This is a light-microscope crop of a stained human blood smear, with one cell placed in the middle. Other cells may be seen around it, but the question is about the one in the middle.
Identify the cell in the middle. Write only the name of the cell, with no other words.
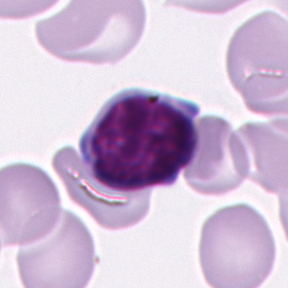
lymphocyte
